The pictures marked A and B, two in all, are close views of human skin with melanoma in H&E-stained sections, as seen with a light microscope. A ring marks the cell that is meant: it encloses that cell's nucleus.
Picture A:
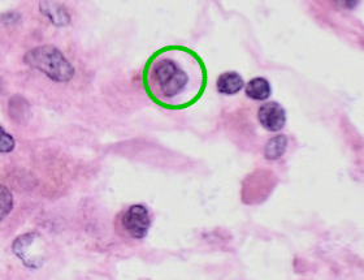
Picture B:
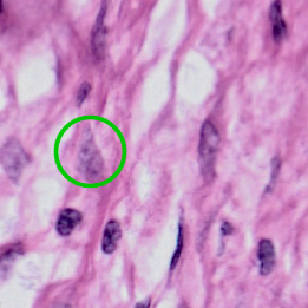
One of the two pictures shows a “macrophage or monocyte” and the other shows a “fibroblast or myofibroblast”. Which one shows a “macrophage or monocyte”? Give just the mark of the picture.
A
